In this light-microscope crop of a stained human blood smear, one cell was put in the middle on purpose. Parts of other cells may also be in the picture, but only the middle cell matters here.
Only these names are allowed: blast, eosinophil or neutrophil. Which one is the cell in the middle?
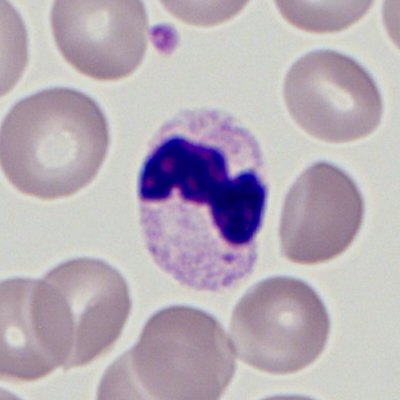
neutrophil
